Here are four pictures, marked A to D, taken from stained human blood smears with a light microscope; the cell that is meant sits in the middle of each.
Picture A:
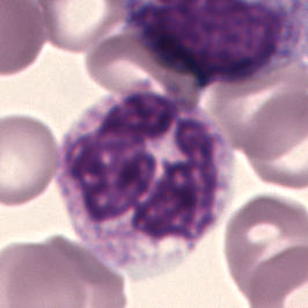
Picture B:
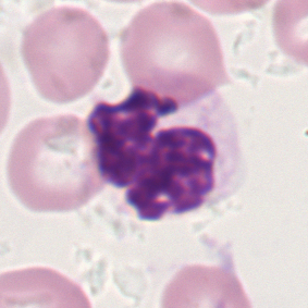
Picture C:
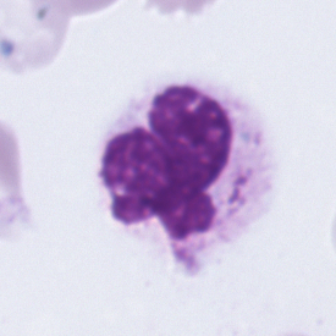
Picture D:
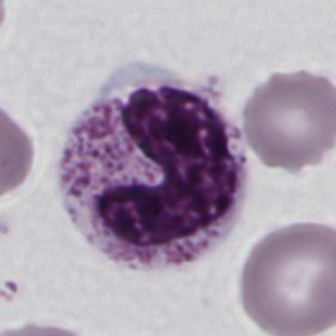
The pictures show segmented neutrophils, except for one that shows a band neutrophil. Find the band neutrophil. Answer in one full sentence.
The picture with the band neutrophil is D.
